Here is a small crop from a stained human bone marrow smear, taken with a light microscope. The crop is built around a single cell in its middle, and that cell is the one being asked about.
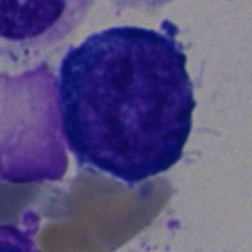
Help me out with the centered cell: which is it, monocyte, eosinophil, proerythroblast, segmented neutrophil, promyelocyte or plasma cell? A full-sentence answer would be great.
For this crop, the central cell is a proerythroblast.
